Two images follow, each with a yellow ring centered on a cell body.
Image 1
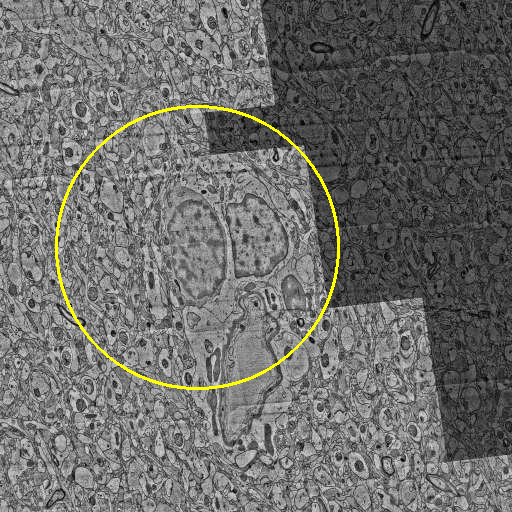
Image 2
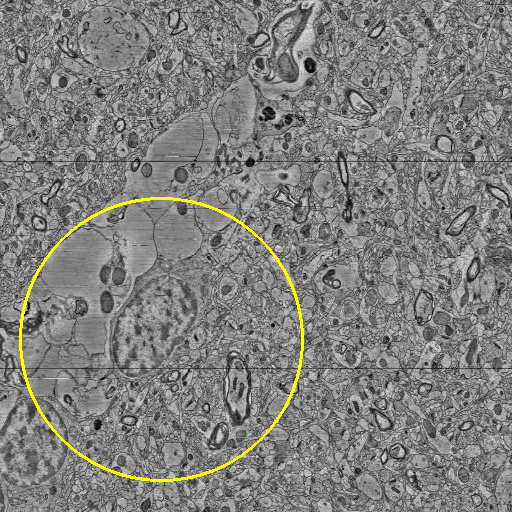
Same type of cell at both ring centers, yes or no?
yes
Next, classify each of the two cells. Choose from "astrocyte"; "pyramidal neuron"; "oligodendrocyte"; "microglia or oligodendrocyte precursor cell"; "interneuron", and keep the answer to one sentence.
Each one of the two ringed cells is an oligodendrocyte.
